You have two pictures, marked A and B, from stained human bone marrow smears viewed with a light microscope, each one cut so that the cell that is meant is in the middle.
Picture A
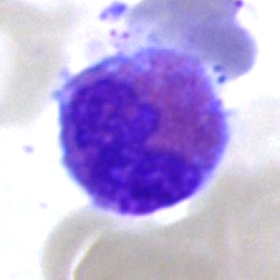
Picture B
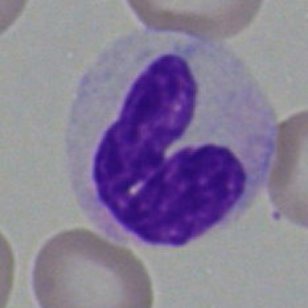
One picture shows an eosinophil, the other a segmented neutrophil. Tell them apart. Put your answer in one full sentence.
The cell in picture A is an eosinophil, and the one in picture B is a segmented neutrophil.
